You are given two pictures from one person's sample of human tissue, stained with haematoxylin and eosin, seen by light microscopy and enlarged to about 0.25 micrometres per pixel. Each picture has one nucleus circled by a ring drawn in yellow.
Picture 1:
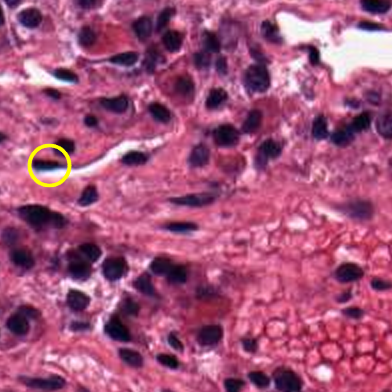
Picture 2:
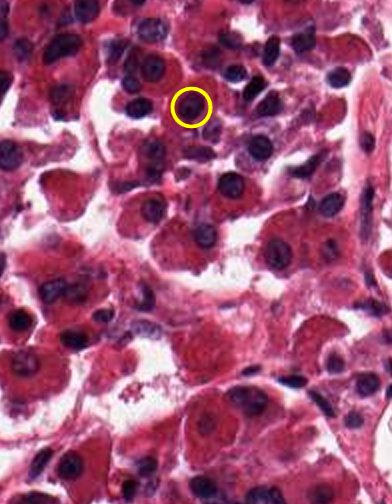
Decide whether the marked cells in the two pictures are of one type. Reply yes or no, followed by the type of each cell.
No, the first is an endothelial cell and the second an anterior pituitary cell.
